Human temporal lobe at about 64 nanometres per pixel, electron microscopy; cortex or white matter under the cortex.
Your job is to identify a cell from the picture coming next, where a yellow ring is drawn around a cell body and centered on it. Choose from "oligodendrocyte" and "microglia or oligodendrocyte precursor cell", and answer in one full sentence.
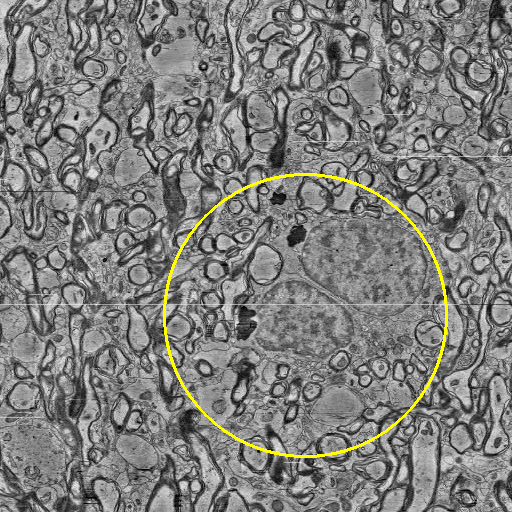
Centered in the yellow ring of the picture is the body of an oligodendrocyte.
